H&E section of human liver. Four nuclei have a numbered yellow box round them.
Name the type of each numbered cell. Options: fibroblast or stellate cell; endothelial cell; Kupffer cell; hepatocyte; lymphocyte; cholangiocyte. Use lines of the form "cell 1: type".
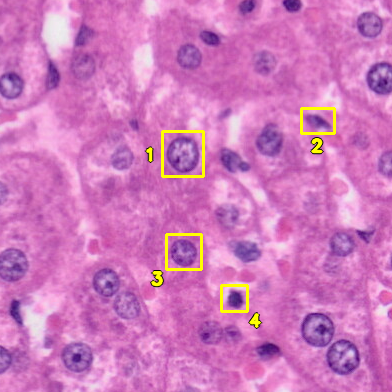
cell 1: hepatocyte
cell 2: endothelial cell
cell 3: hepatocyte
cell 4: lymphocyte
